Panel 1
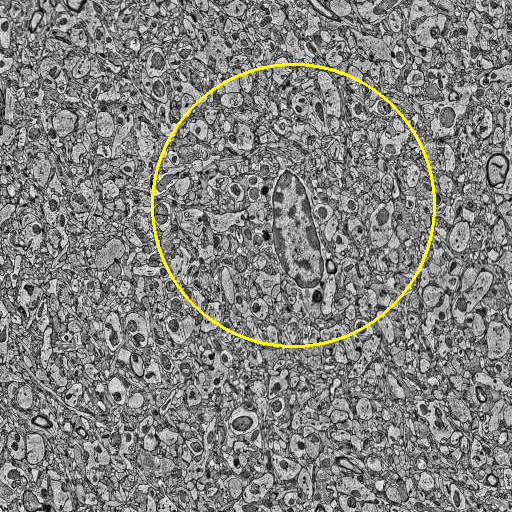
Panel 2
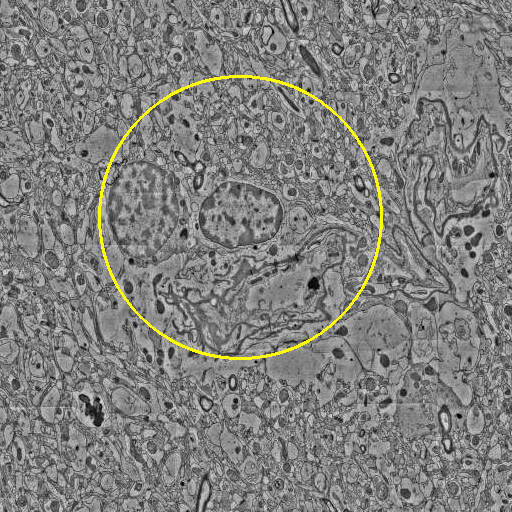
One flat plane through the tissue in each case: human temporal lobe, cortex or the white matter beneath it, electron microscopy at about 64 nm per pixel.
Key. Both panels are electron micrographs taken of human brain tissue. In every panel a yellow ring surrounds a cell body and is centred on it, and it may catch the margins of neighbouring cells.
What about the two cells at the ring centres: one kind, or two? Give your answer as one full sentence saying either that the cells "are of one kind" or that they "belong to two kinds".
Across Panels 1 and 2, the two cells at the ring centres are of one kind.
